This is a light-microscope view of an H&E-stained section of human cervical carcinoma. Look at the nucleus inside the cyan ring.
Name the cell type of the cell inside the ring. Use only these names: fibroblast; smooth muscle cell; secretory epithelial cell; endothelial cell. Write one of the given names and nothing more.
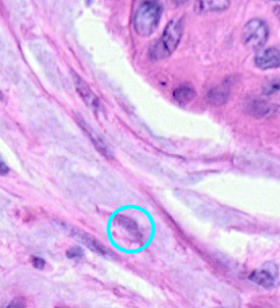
fibroblast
